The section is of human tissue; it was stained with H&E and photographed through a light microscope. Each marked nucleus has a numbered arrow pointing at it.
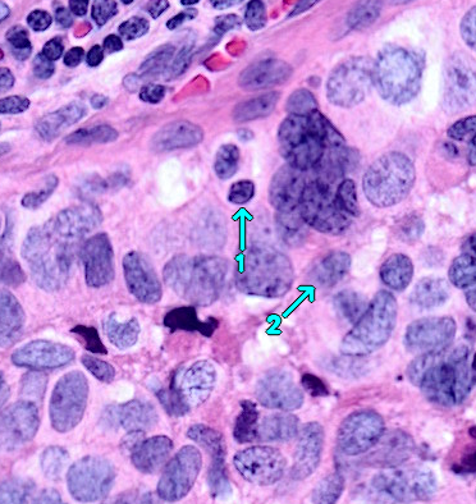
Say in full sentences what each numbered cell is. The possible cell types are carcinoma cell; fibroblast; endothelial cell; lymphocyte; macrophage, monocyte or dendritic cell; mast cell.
Cell 1 is a lymphocyte and cell 2 is a carcinoma cell.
